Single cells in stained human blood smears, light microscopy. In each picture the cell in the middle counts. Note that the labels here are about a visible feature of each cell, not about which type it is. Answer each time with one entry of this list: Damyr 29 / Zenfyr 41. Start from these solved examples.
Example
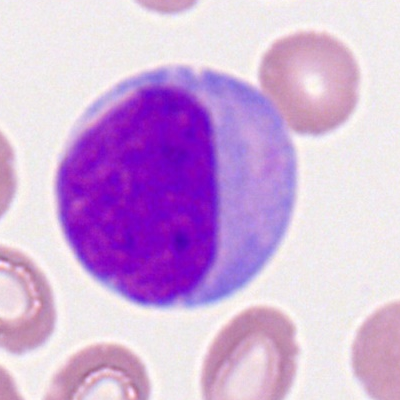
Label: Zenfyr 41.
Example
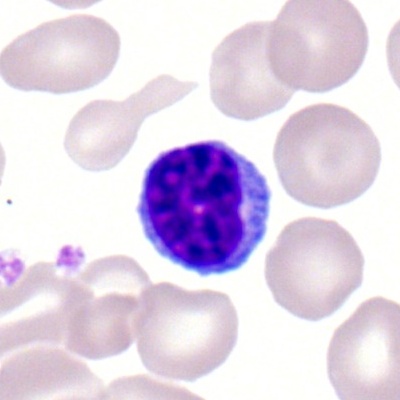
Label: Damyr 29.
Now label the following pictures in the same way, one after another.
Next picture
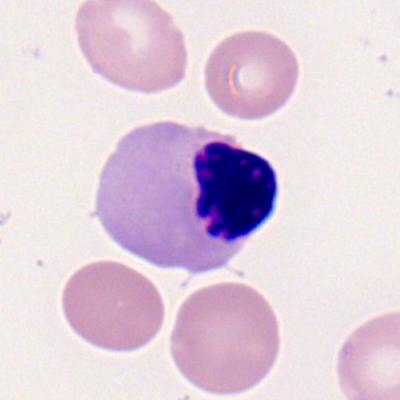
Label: Zenfyr 41.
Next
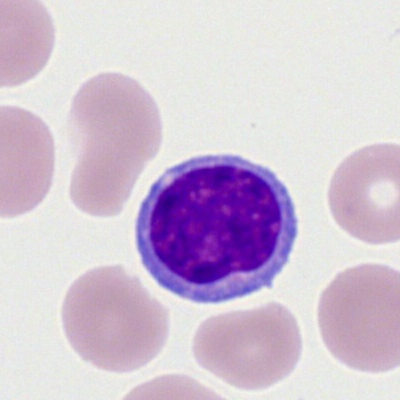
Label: Damyr 29.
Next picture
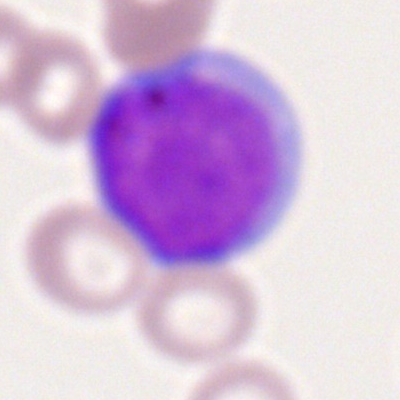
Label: Damyr 29.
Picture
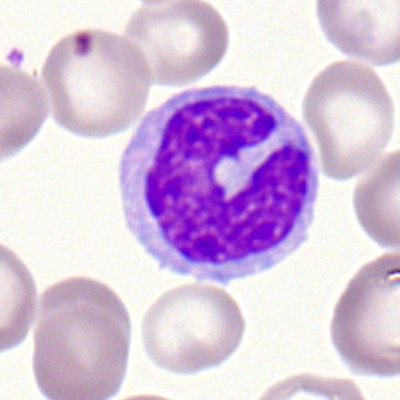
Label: Damyr 29.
